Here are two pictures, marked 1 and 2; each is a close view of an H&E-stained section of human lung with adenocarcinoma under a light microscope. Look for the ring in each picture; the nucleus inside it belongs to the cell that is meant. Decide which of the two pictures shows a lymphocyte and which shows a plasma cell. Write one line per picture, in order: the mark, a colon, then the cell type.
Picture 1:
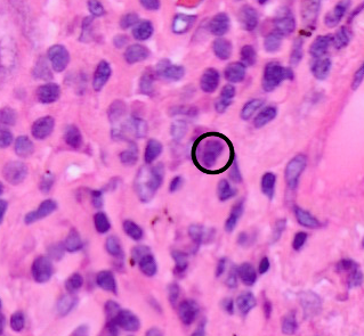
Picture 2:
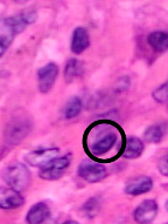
1: plasma cell
2: lymphocyte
